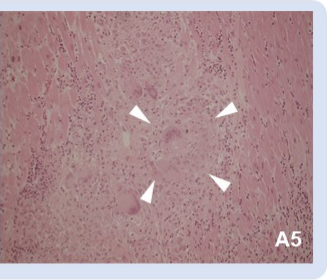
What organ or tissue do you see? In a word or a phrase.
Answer: myocardium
